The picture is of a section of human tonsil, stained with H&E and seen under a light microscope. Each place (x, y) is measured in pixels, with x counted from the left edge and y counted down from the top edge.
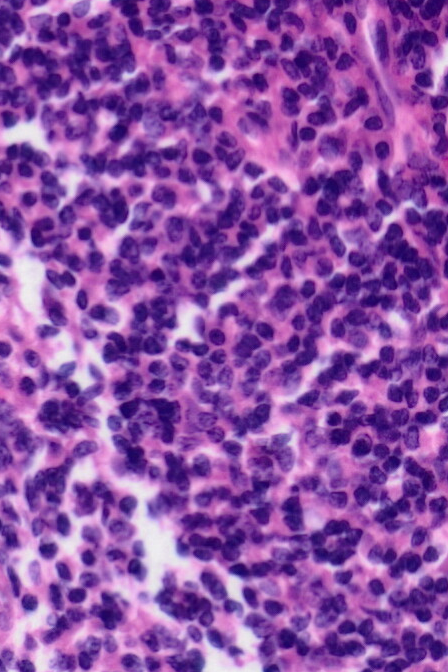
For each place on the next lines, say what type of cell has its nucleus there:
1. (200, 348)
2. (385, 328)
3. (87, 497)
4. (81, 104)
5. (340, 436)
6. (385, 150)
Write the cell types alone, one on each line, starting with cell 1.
small lymphocyte
small lymphocyte
proliferating B cell
small lymphocyte
small lymphocyte
plasma cell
